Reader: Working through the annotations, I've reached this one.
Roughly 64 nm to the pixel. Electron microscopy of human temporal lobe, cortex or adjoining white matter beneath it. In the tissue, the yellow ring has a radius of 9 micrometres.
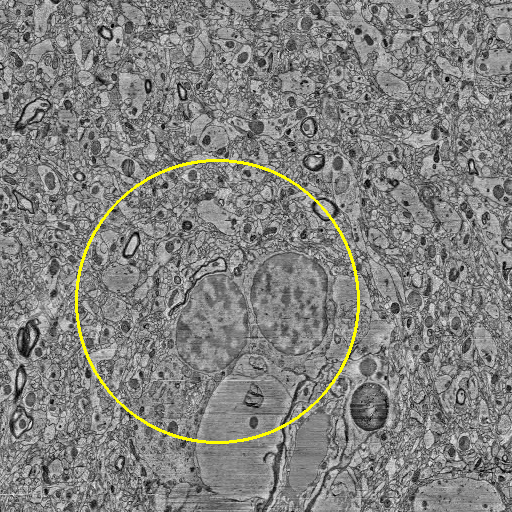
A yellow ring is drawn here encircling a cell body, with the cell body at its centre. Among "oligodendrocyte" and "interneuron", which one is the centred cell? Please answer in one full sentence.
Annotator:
The cell body at the centre of the yellow ring in this image belongs to an oligodendrocyte.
